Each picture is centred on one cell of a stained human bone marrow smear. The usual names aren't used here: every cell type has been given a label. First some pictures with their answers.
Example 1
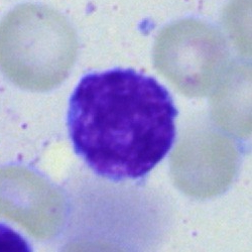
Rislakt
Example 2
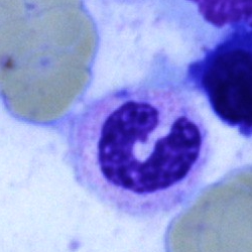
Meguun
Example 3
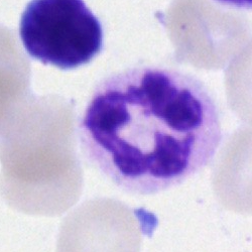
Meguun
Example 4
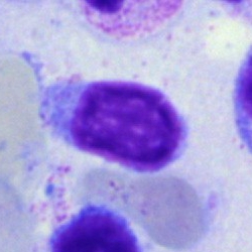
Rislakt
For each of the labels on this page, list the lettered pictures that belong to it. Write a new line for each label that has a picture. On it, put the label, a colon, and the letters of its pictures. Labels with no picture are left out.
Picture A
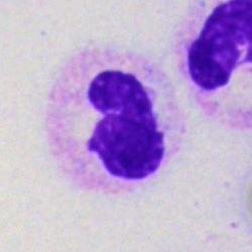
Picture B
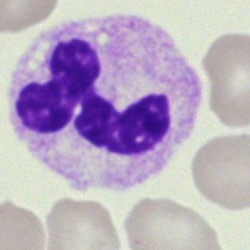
Meguun: A, B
